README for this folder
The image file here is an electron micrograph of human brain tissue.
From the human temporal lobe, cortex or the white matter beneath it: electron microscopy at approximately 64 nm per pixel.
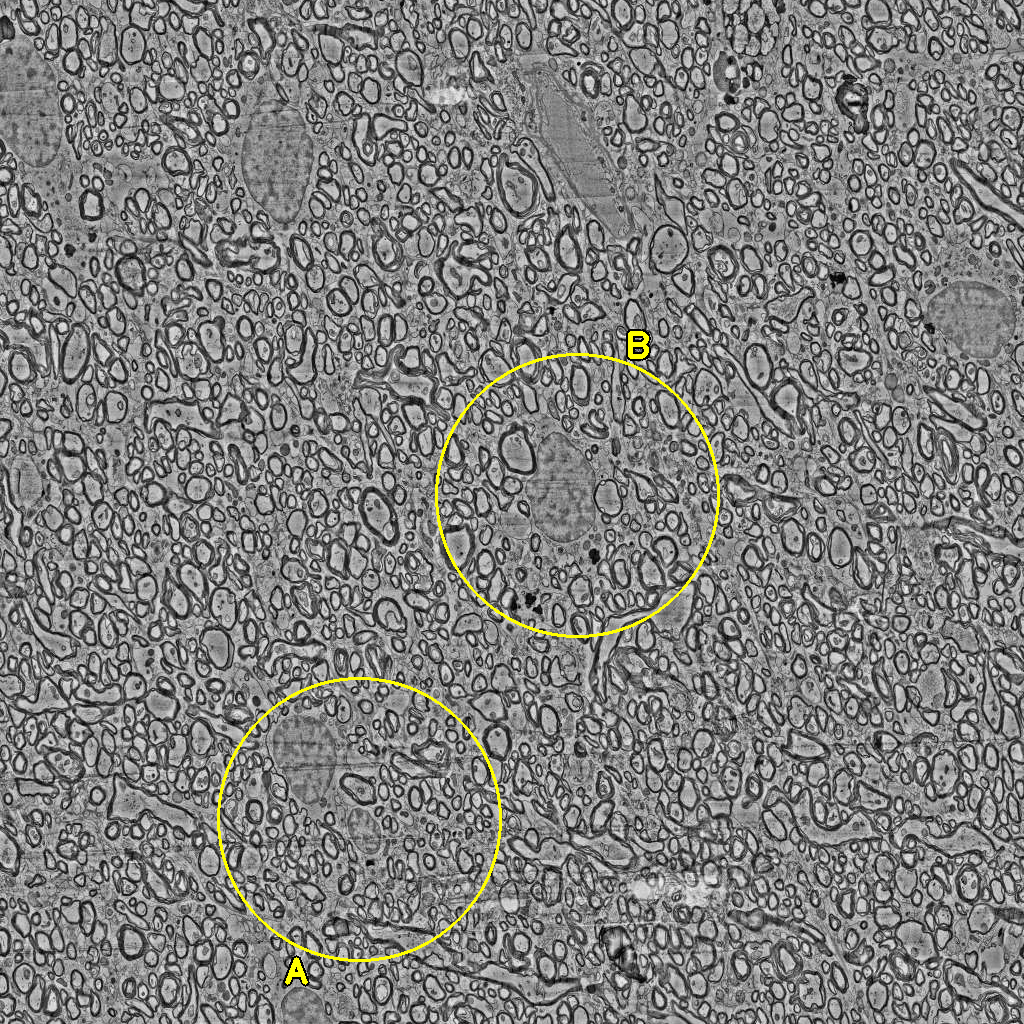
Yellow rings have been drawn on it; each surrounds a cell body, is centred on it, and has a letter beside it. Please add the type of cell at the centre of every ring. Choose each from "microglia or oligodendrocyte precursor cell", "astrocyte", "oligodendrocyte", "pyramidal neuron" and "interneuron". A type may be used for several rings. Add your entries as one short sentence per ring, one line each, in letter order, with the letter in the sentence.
Ring A marks the cell body of a microglial cell or oligodendrocyte precursor cell.
Ring B marks the cell body of an oligodendrocyte.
